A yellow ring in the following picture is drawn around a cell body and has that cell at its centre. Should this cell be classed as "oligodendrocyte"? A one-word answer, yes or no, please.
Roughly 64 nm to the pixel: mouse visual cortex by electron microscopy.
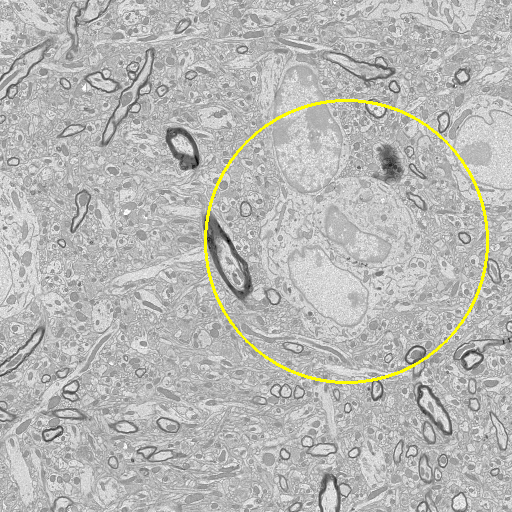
Yes, it is of that kind.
